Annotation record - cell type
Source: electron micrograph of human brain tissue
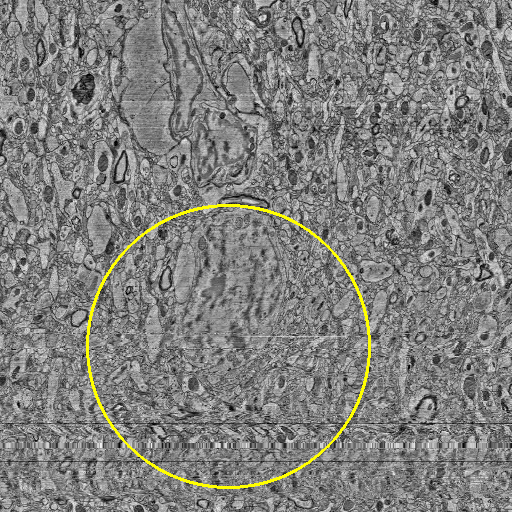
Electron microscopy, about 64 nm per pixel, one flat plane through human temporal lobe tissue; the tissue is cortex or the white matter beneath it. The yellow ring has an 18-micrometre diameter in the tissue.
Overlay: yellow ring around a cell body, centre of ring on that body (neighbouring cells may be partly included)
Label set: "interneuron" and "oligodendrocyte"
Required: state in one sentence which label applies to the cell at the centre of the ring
This cell should be labelled as an interneuron.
